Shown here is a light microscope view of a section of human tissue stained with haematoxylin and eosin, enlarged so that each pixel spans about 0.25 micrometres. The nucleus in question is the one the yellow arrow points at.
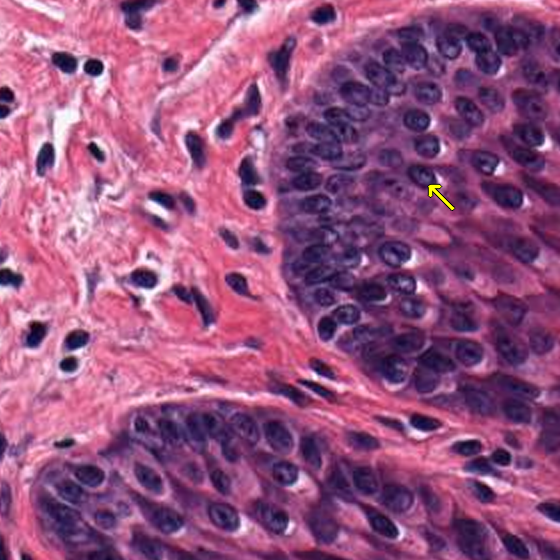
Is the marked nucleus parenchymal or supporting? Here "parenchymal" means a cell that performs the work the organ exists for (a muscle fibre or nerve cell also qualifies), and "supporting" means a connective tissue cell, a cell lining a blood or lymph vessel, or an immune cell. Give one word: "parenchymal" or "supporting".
parenchymal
